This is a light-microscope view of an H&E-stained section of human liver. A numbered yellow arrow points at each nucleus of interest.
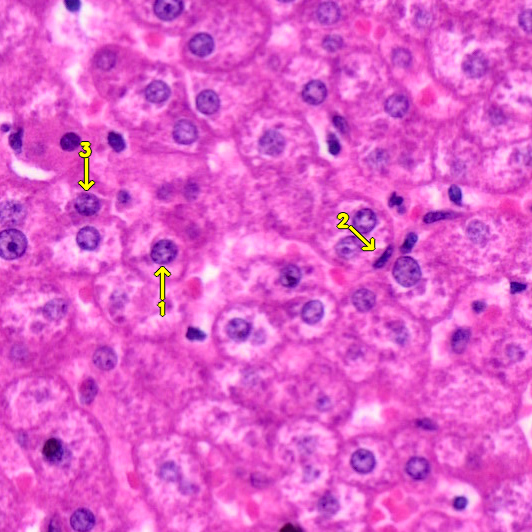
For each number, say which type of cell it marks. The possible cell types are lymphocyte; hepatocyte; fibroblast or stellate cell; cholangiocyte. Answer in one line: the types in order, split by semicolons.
hepatocyte; fibroblast or stellate cell; hepatocyte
